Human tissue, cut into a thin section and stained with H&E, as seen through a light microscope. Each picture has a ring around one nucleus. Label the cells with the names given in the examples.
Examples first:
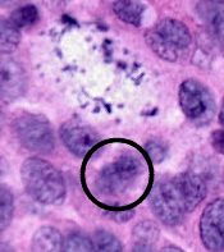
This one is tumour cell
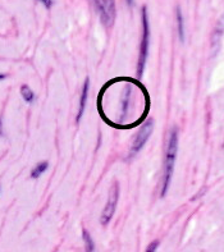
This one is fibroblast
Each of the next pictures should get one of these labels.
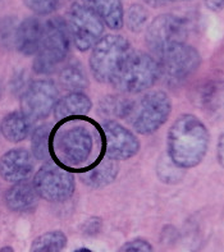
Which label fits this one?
tumour cell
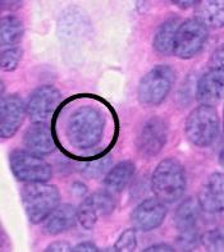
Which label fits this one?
tumour cell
